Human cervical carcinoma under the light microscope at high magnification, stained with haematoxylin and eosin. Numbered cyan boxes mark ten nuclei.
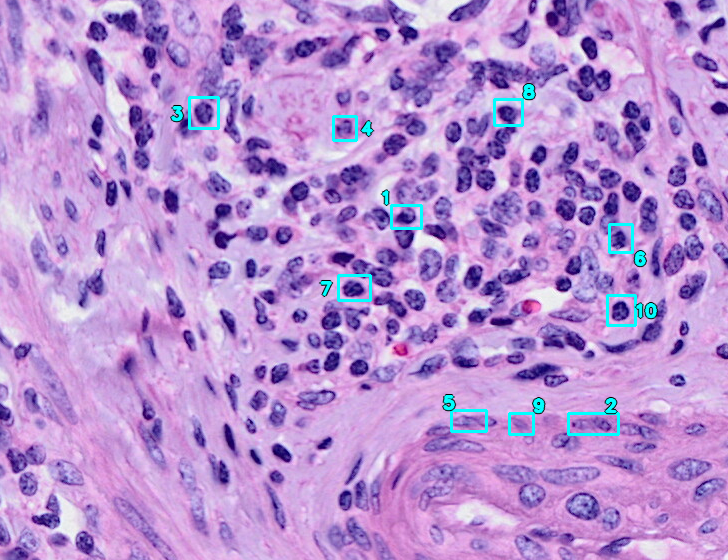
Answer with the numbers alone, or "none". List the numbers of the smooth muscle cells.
2, 4, 5, 9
